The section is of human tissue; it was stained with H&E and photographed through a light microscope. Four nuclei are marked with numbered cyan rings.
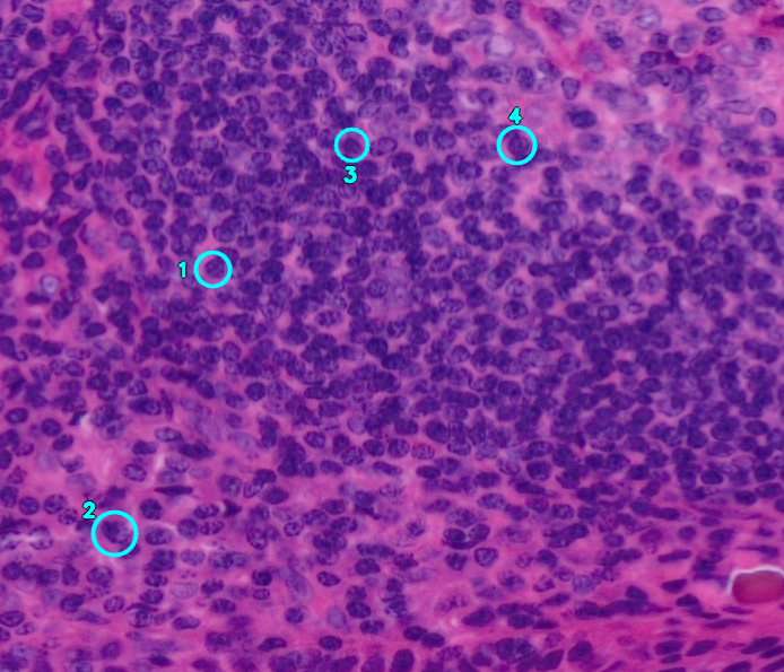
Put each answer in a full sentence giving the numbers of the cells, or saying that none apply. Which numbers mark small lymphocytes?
So, the cells with numbers 1, 3 and 4 are small lymphocytes.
